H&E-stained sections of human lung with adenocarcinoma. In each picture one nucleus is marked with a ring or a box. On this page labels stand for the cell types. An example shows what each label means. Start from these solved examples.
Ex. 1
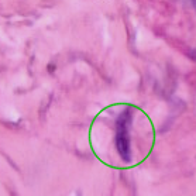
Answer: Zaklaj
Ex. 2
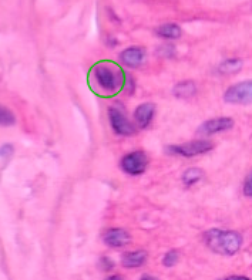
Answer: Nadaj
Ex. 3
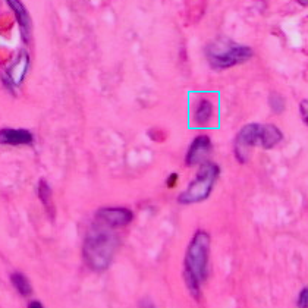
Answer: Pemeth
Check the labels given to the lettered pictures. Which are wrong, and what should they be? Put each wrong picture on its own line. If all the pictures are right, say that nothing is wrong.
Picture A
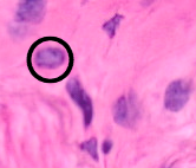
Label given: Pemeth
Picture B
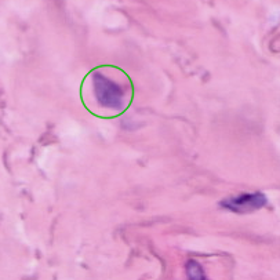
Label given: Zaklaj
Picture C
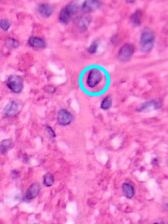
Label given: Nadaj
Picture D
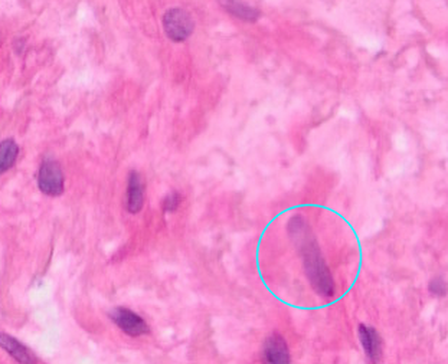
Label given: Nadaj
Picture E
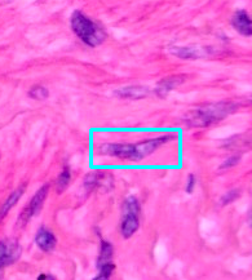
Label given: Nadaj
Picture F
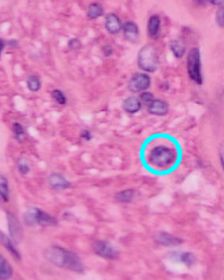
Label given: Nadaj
C: not Nadaj but Pemeth
F: not Nadaj but Pemeth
